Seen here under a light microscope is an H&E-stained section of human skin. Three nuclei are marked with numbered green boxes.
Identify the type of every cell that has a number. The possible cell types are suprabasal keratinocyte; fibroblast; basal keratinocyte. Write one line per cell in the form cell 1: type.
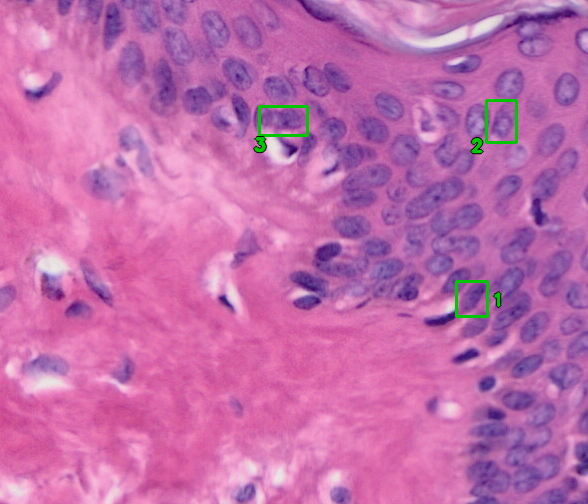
cell 1: basal keratinocyte
cell 2: suprabasal keratinocyte
cell 3: basal keratinocyte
